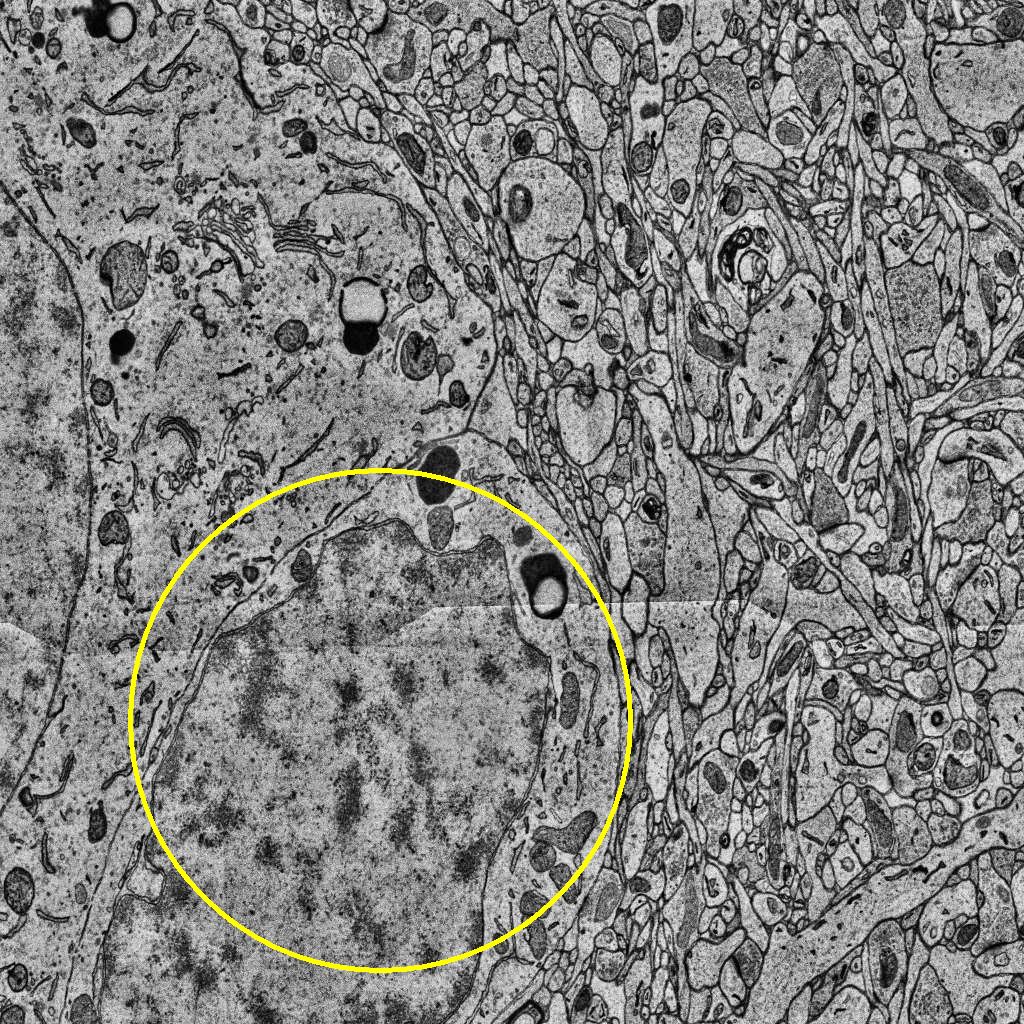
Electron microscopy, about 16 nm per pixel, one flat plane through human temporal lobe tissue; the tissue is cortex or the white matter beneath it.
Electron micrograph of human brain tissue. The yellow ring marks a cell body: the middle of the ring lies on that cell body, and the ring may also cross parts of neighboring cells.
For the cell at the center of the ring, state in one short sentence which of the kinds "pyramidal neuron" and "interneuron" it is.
This ring's center lies on an interneuron.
